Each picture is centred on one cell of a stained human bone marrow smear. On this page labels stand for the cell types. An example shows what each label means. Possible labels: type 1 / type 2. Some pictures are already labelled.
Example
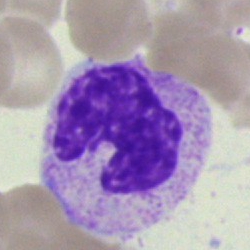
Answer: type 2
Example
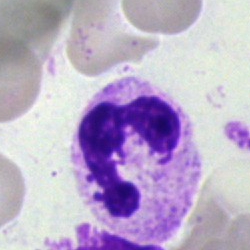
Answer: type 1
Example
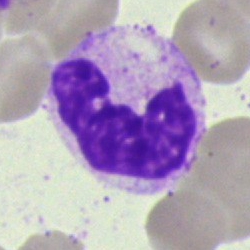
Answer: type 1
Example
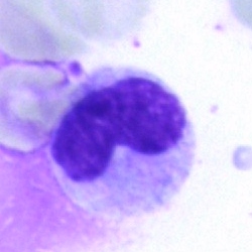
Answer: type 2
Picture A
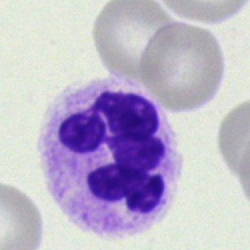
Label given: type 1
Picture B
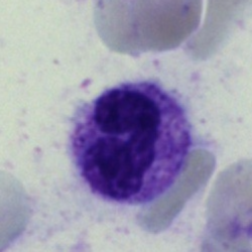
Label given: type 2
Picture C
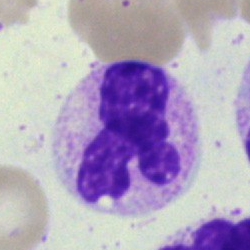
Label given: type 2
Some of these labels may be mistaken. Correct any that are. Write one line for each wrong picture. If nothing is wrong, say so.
C: type 1, not type 2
